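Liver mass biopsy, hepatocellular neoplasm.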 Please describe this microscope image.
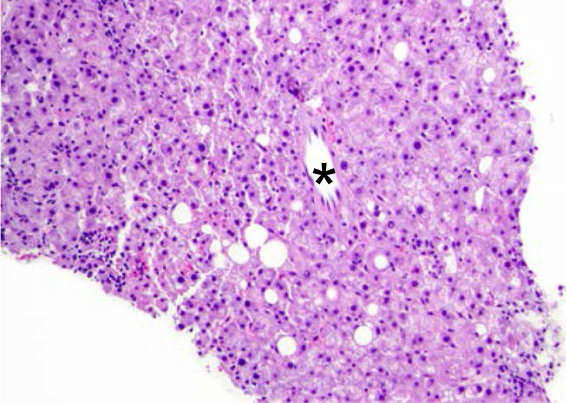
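Sheets of well-differentiated neoplastic hepatocytes, polygonal cells with abundant pink granular cytoplasm and round central nuclei, fill the field. Scattered clear round fat vacuoles lie among them, and a small unpaired artery sits isolated within the sheets without an accompanying duct or fibrous tract. A few clusters of small dark lymphocytes lie at the left edge.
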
